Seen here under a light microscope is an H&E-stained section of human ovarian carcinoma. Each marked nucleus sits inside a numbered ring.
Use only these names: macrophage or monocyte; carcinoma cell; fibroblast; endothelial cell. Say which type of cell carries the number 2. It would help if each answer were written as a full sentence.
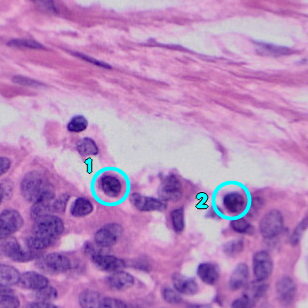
Classified as a carcinoma cell is the cell with the number 2.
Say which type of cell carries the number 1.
Number 1 is placed on a macrophage or monocyte here.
